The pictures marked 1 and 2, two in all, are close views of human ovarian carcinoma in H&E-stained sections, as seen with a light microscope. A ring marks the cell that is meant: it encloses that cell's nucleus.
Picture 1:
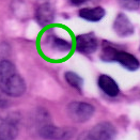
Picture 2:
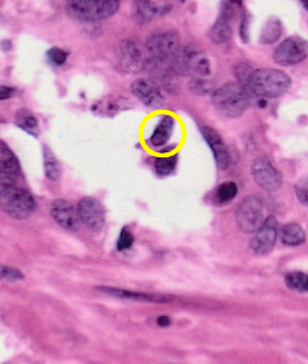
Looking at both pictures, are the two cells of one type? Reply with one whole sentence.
Yes, they are the same type: both are carcinoma cells.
